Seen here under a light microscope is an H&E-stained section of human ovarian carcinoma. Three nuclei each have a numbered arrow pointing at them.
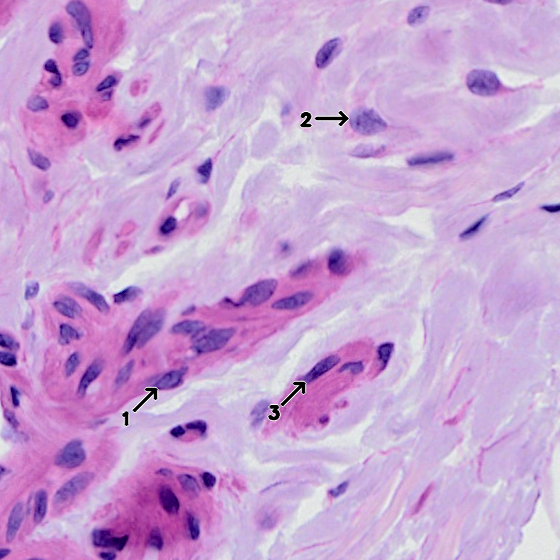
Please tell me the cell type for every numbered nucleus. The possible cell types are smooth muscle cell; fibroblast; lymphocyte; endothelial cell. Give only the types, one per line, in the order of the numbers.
smooth muscle cell
fibroblast
smooth muscle cell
